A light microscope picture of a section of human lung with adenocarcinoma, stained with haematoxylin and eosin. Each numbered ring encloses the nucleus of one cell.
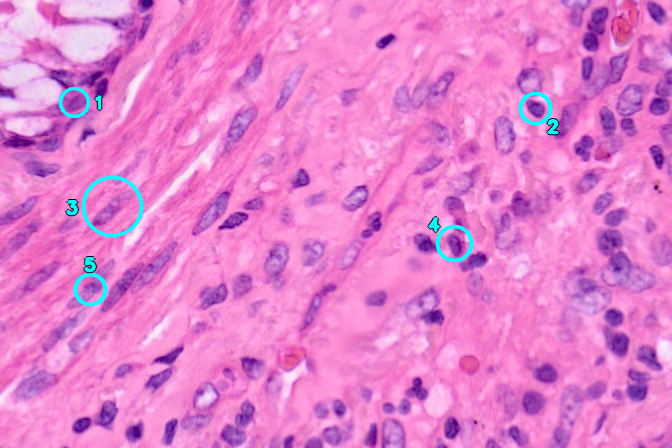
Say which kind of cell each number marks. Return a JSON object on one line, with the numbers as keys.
{"1": "ciliated epithelial cell", "2": "lymphocyte", "3": "smooth muscle cell or pericyte", "4": "plasma cell", "5": "smooth muscle cell or pericyte"}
